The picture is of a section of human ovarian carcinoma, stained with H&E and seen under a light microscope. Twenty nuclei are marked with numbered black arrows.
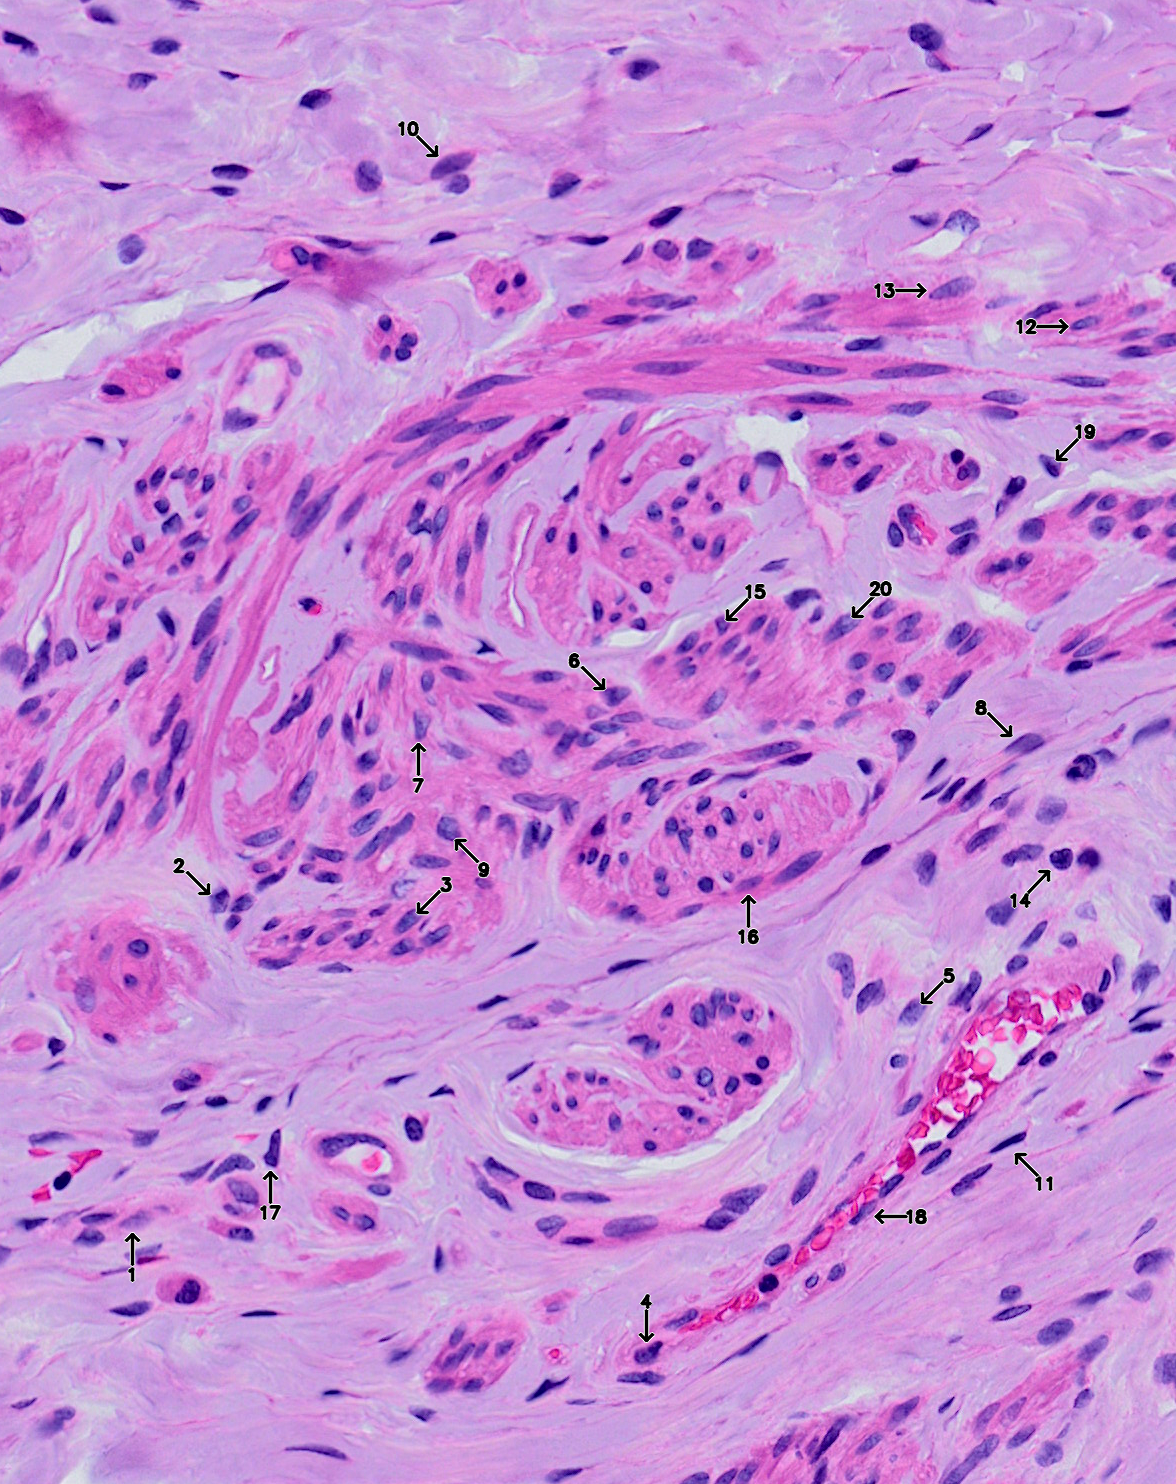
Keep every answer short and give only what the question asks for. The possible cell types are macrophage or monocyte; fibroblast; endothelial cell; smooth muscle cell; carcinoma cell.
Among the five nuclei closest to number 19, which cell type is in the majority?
smooth muscle cell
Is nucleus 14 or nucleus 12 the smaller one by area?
12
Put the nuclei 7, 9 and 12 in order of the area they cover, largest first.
9, 7, 12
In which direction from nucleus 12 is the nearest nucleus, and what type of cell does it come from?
a smooth muscle cell above nucleus 12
